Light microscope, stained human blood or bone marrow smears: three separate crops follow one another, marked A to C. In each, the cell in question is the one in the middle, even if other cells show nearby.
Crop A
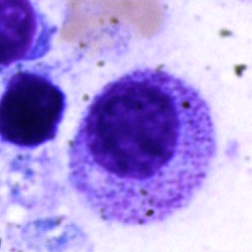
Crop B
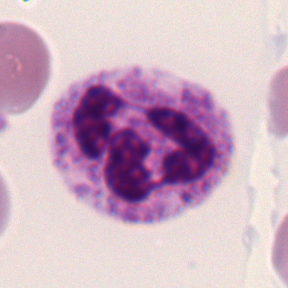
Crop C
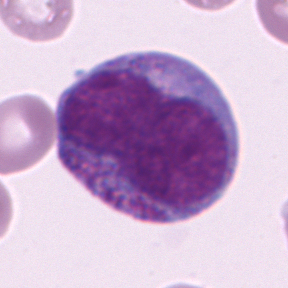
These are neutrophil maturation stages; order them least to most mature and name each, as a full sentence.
Maturation proceeds in the order crop C (a promyelocyte), crop A (a myelocyte) and crop B (a segmented neutrophil).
